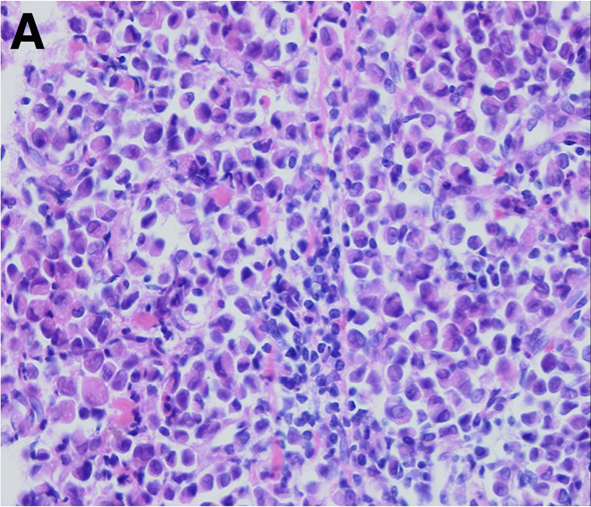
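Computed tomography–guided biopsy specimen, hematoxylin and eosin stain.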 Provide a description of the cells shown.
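Poorly differentiated tumor grows in solid, loosely cohesive sheets of large cells, without well-formed glands. The nuclei are enlarged, irregular and dark purple, varying in size and shape, and many sit eccentrically in a moderate amount of pink-purple cytoplasm. A vertical band of smaller cells with compact dark nuclei runs through the middle of the field. A few red blood cells lie scattered between the tumor cells.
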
